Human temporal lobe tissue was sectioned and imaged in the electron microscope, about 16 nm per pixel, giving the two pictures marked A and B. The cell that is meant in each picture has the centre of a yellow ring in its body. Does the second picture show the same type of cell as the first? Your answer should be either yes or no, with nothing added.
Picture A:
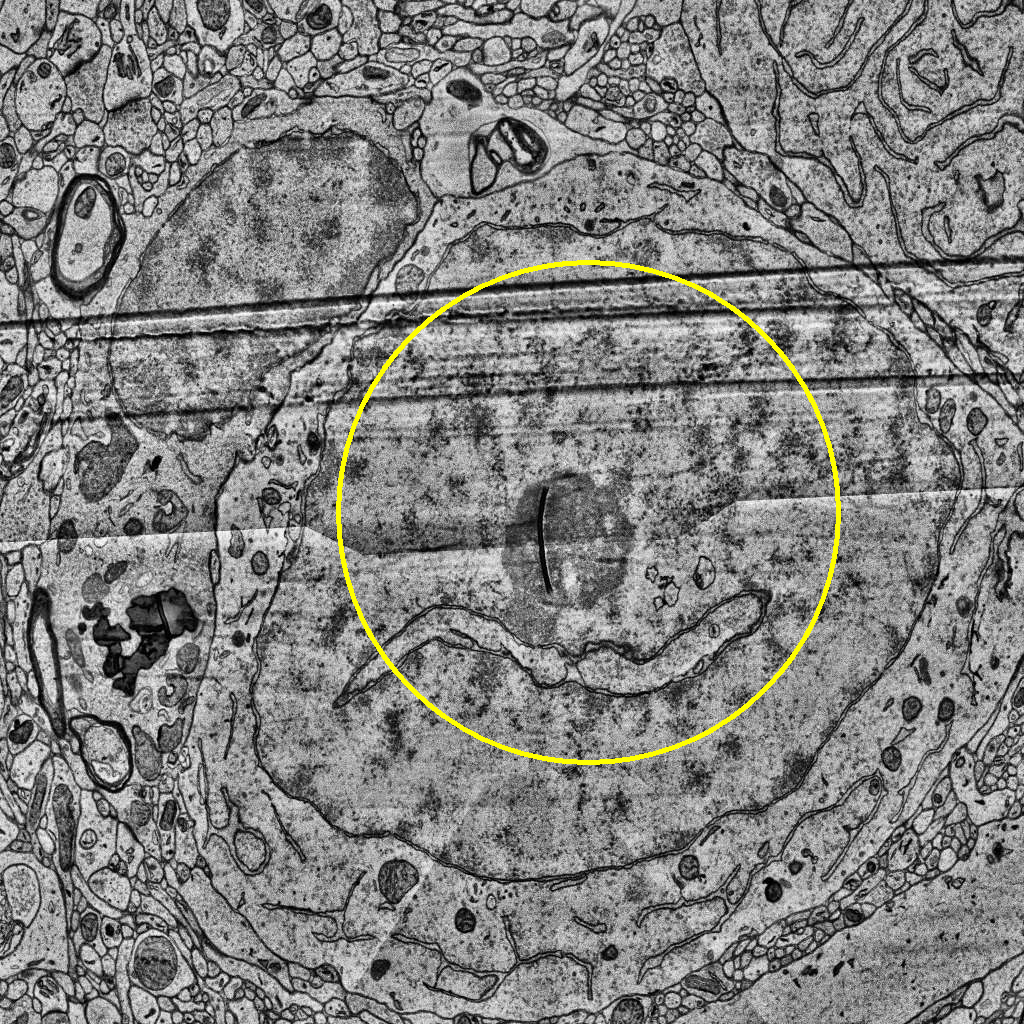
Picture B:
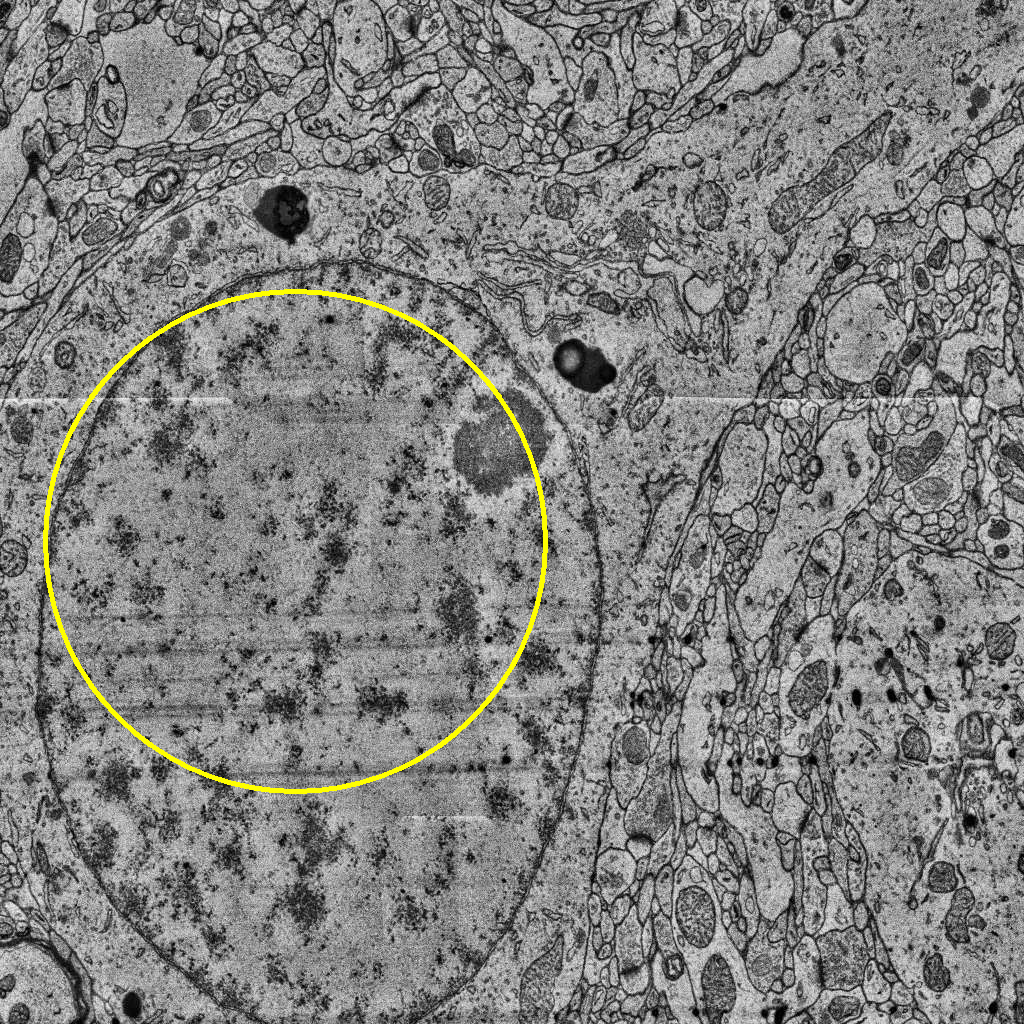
no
